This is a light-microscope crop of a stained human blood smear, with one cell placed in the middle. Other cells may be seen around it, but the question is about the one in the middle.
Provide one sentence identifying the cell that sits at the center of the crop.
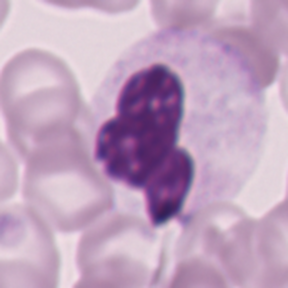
For this crop, the central cell is a segmented neutrophil.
